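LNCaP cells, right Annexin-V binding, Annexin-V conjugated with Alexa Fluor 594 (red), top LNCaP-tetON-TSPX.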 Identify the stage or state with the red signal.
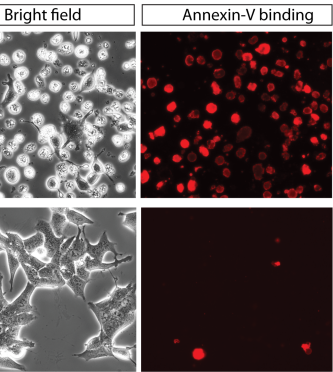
dead or apoptotic cells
